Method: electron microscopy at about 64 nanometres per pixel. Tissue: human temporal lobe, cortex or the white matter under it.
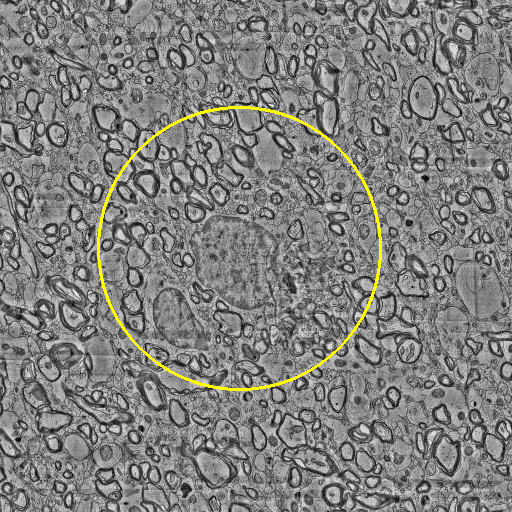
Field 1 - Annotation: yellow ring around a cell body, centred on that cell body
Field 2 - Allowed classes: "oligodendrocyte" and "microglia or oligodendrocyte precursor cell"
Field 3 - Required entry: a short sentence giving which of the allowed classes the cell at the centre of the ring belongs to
The centred cell is an oligodendrocyte.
